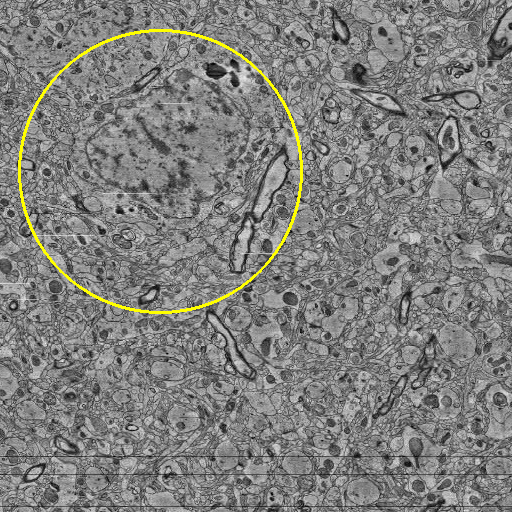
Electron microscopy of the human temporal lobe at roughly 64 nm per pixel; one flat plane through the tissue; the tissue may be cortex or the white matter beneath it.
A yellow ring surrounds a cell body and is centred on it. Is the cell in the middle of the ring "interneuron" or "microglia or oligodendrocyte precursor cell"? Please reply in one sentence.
The ring is centred on an interneuron.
